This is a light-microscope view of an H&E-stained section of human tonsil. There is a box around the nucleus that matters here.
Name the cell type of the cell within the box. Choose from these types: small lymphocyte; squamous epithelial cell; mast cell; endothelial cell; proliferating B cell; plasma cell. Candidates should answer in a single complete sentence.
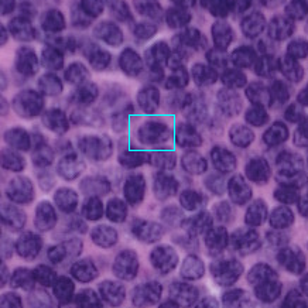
As classified here, the cell within the box is a small lymphocyte.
